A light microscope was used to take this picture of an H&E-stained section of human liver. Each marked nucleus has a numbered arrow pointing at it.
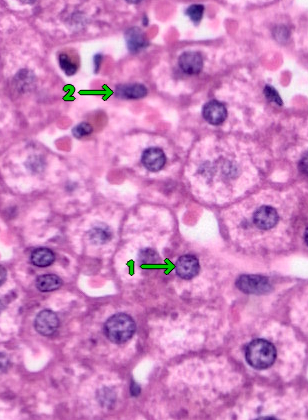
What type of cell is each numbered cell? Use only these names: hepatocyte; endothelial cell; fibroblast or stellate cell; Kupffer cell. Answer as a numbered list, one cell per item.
1. hepatocyte
2. fibroblast or stellate cell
